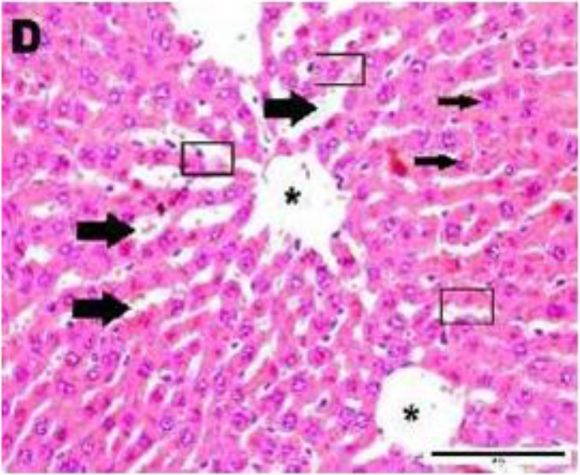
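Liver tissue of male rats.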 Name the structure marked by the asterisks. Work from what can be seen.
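Central vein. Cords of cells radiate from the upper lumen.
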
